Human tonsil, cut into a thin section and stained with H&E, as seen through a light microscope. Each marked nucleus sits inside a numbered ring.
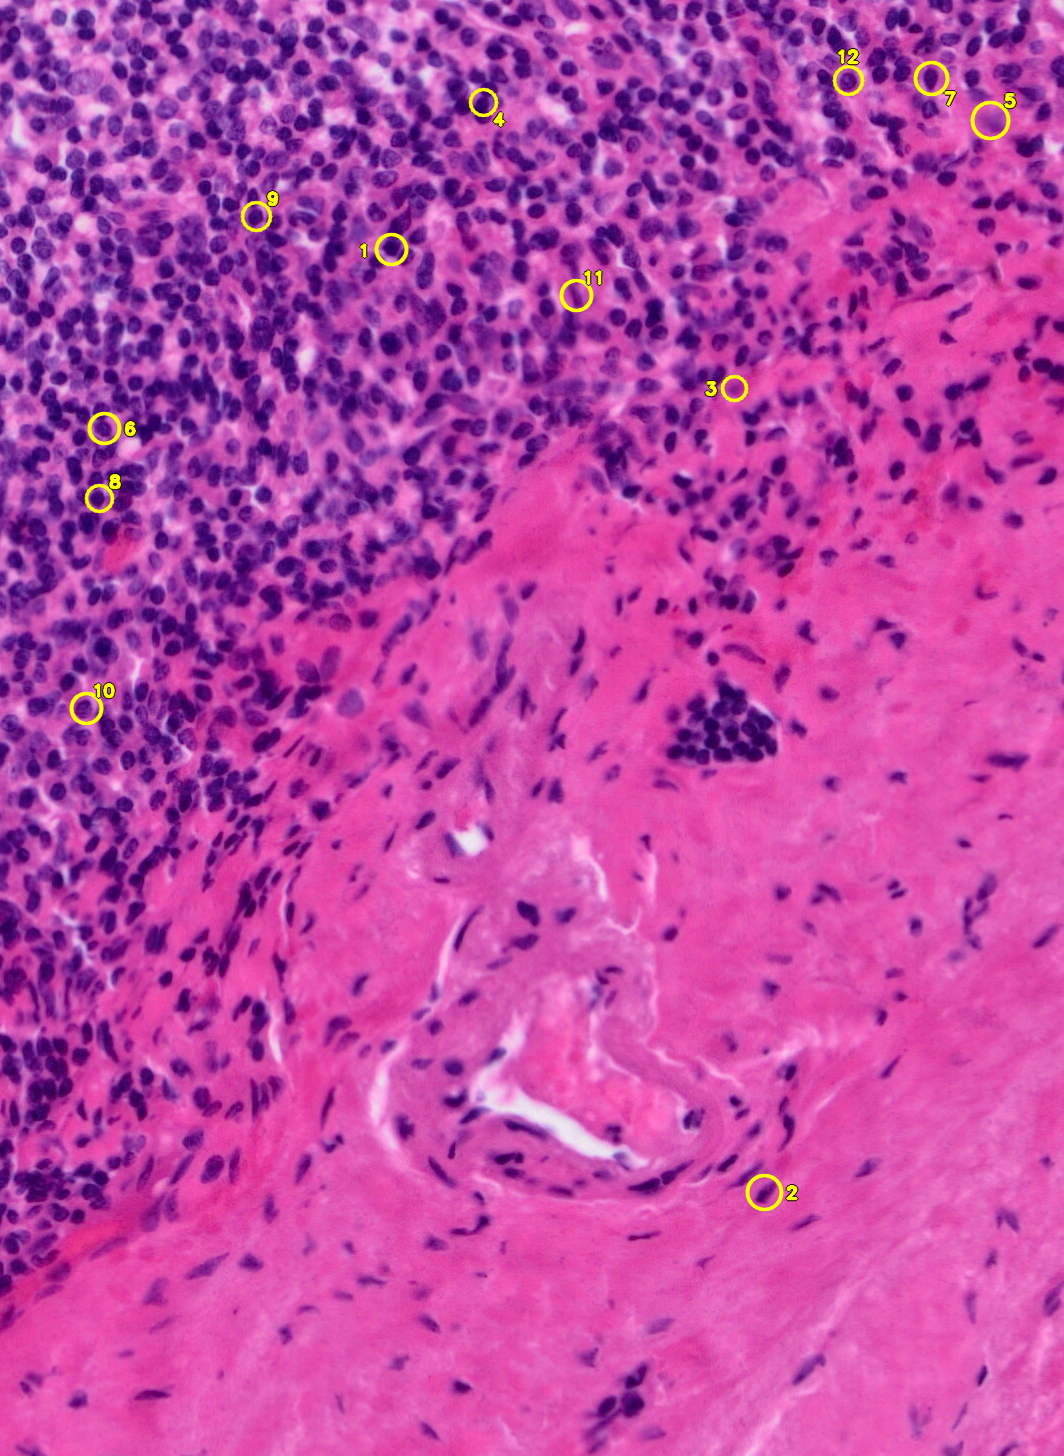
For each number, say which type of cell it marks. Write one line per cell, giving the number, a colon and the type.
1: small lymphocyte
2: mast cell
3: endothelial cell
4: small lymphocyte
5: endothelial cell
6: small lymphocyte
7: plasma cell
8: small lymphocyte
9: small lymphocyte
10: plasma cell
11: endothelial cell
12: plasma cell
